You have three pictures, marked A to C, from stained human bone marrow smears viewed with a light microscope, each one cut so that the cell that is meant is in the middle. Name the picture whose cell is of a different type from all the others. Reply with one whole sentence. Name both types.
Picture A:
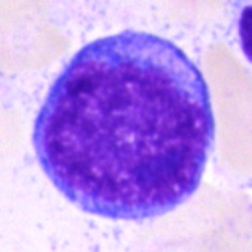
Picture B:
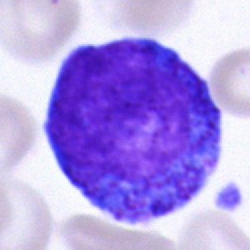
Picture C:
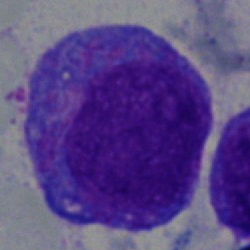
The different one is picture A; it shows a blast, whereas all the others show promyelocytes.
